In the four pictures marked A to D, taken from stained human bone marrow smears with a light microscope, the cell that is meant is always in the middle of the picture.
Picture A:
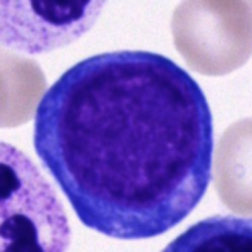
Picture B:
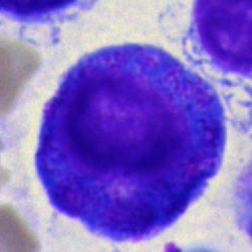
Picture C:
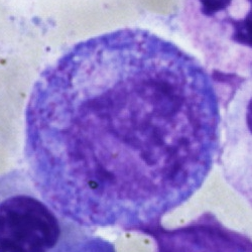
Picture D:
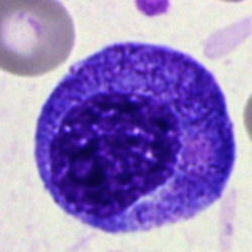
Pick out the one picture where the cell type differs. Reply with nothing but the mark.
A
